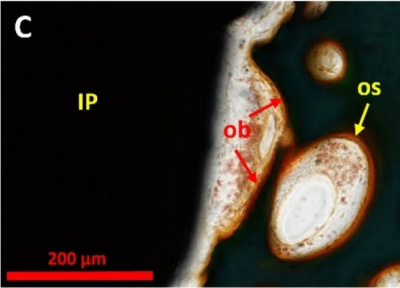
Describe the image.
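This is newly forming bone near an implant, with bone-forming cells and unmineralized matrix on the bone surfaces. The implant forms a black area on the left. A strip of pale fibrous soft tissue containing many small nuclei separates it from dark blue-green mineralized bone. Along the bone edge facing the soft tissue, cells are lined up on an orange seam. Within the bone lie rounded and oval cavities whose walls are lined by a thick orange-red layer of unmineralized matrix, enclosing pale tissue centrally.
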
